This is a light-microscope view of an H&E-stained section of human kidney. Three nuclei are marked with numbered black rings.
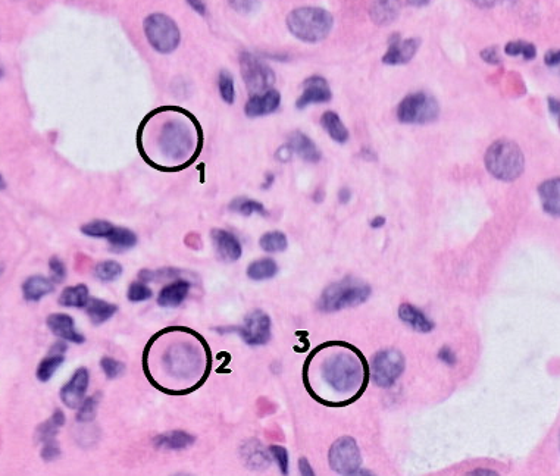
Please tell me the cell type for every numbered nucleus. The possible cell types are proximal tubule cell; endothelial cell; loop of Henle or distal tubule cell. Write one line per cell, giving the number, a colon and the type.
1: loop of Henle or distal tubule cell
2: proximal tubule cell
3: loop of Henle or distal tubule cell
